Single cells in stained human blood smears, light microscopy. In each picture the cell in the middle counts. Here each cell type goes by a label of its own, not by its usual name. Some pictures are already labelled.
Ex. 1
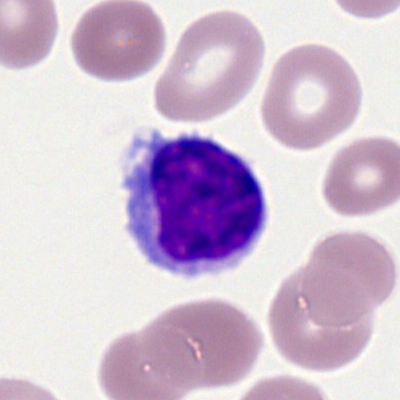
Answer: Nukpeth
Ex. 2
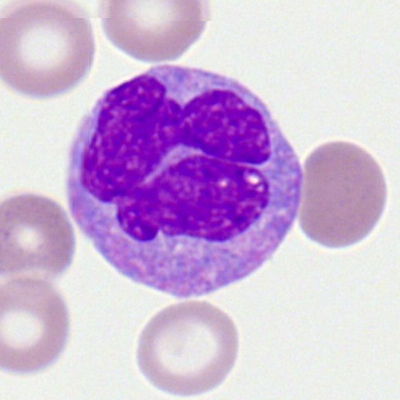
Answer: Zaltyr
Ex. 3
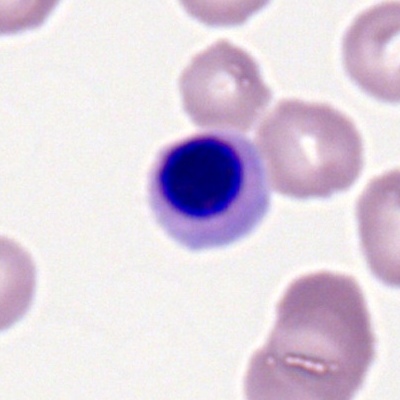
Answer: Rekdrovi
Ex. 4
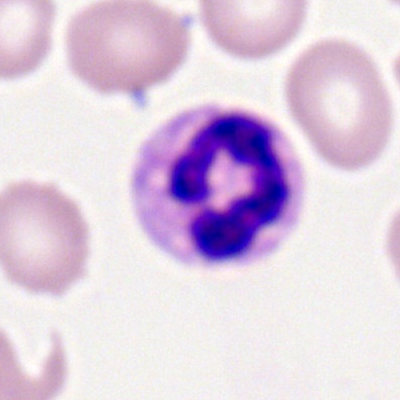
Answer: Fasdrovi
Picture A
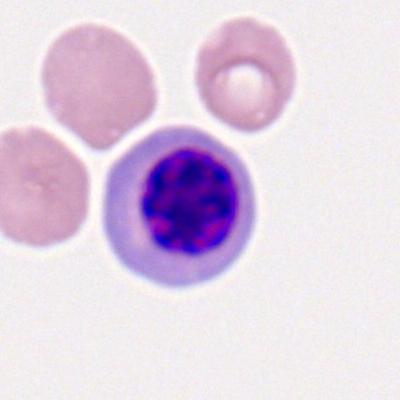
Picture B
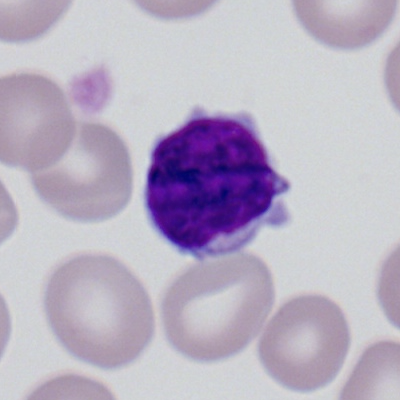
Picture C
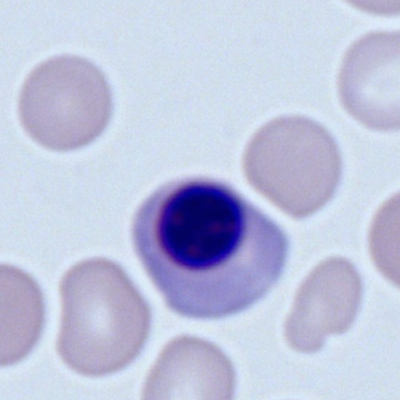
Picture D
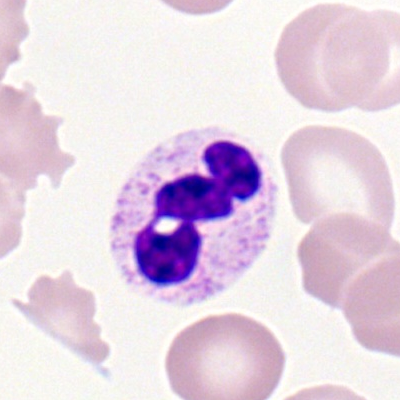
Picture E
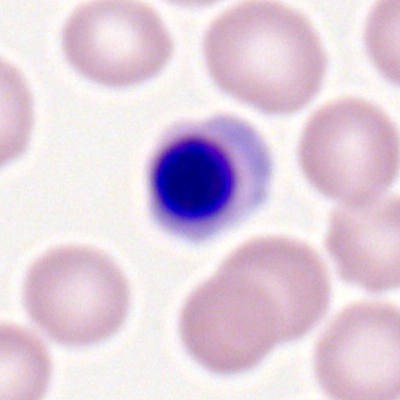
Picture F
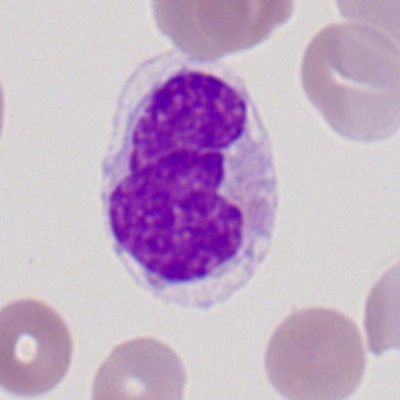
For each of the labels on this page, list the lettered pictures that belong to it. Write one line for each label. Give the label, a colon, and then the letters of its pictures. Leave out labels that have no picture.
Nukpeth: B
Zaltyr: F
Rekdrovi: A, C, E
Fasdrovi: D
